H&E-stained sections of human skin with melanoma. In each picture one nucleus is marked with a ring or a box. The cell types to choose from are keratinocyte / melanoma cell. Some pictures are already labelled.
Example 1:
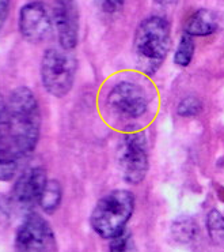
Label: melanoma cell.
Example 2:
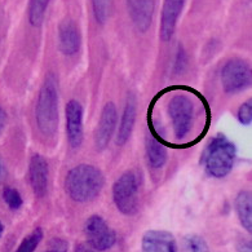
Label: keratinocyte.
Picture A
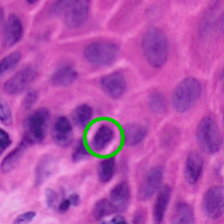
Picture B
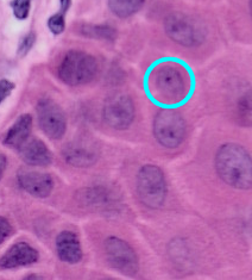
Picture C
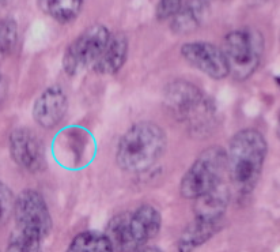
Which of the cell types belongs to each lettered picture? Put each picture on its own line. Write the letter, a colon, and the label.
A: keratinocyte.
B: keratinocyte.
C: melanoma cell.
